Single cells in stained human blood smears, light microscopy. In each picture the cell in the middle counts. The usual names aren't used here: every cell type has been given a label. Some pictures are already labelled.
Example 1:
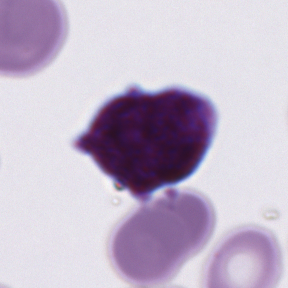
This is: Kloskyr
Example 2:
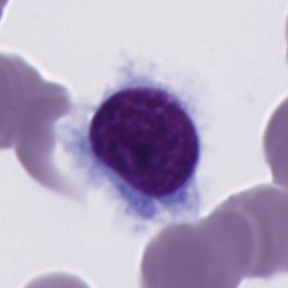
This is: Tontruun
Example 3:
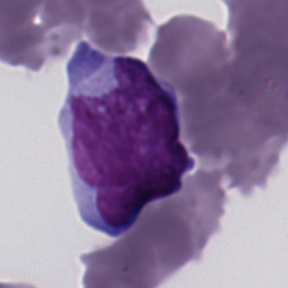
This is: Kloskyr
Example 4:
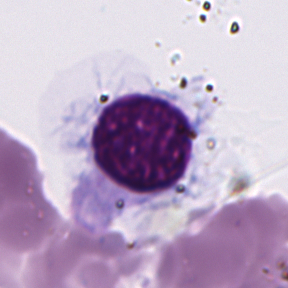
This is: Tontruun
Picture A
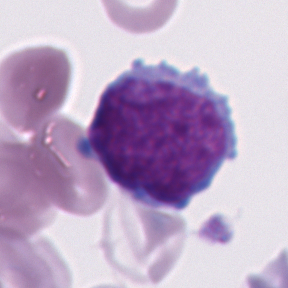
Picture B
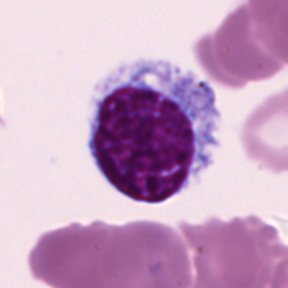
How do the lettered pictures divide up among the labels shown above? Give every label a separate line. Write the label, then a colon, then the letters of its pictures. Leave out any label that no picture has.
Kloskyr: A
Tontruun: B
